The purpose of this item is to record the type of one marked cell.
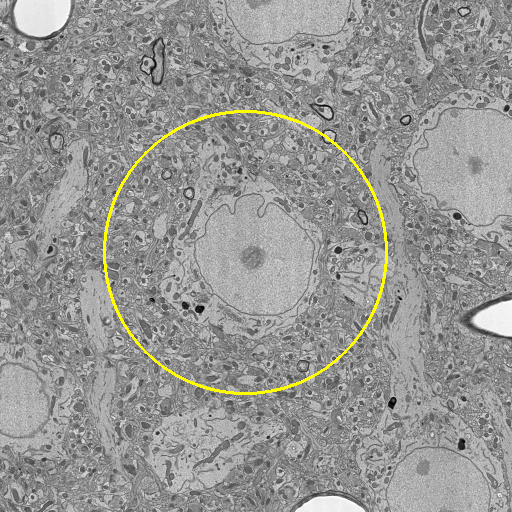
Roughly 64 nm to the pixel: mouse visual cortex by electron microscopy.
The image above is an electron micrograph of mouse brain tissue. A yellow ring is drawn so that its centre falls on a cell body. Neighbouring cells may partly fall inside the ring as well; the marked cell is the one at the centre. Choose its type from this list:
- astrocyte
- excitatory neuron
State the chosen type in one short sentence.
What the ring marks here is an excitatory neuron.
